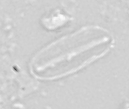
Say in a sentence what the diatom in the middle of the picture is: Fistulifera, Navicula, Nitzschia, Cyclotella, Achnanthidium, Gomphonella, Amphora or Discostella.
This is Fistulifera.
